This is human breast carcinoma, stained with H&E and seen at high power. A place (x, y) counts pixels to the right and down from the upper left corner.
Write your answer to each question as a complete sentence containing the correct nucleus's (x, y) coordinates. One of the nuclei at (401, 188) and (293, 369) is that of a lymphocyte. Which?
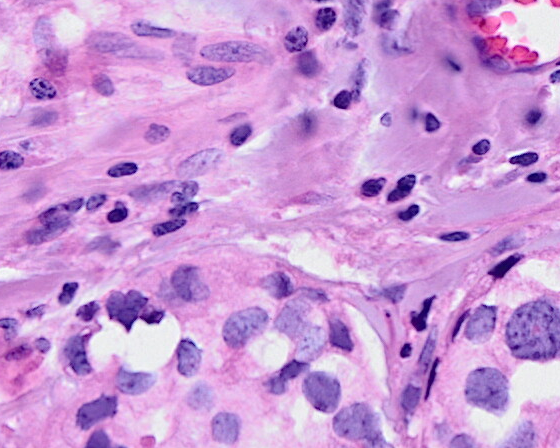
Of the two options, the nucleus at (401, 188) is the one that belongs to a lymphocyte.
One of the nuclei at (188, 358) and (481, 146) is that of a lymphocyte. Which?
The correct choice is the nucleus at (481, 146), which belongs to a lymphocyte.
